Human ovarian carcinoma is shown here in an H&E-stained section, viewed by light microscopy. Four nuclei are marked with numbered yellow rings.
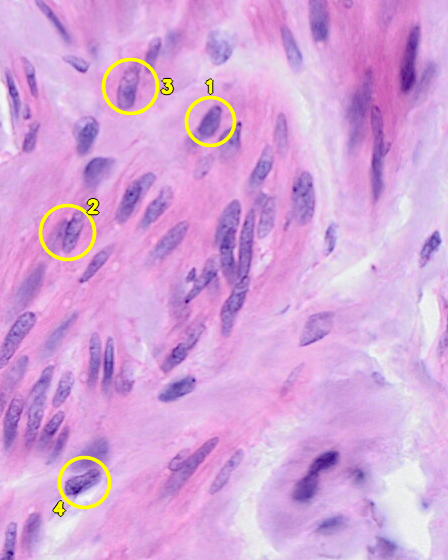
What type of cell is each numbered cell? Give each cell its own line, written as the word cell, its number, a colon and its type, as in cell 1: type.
cell 1: smooth muscle cell
cell 2: smooth muscle cell
cell 3: smooth muscle cell
cell 4: fibroblast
